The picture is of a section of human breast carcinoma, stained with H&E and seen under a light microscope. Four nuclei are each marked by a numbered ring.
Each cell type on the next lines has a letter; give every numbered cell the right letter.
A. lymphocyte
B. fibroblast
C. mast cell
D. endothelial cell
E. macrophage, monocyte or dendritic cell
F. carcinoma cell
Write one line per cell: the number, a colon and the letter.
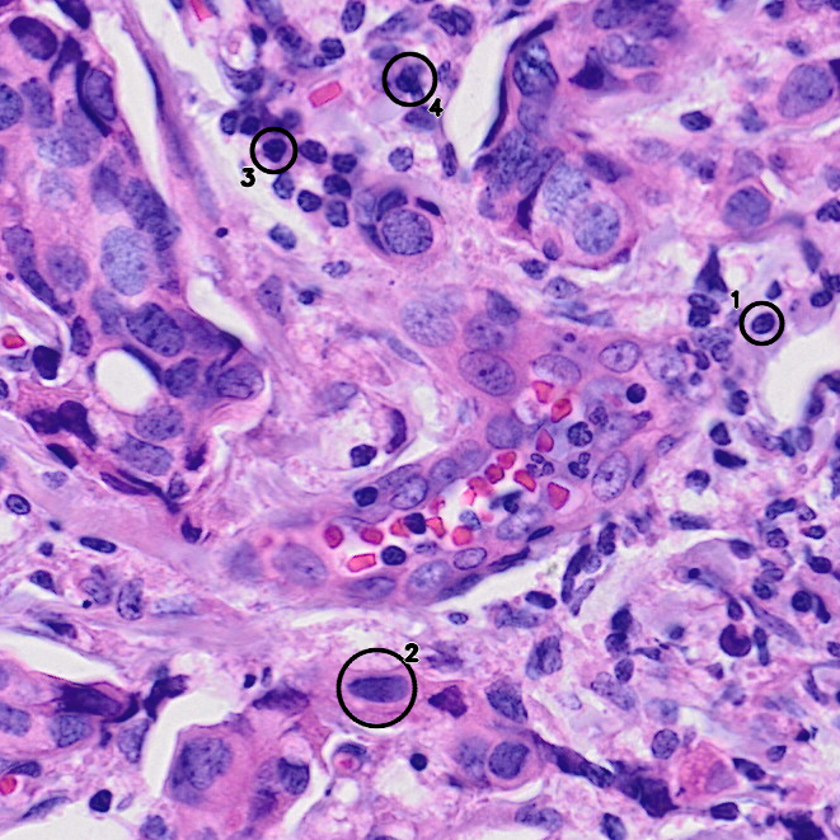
1: A
2: F
3: A
4: A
